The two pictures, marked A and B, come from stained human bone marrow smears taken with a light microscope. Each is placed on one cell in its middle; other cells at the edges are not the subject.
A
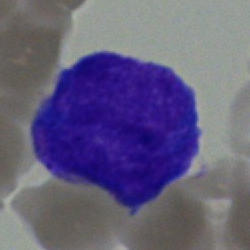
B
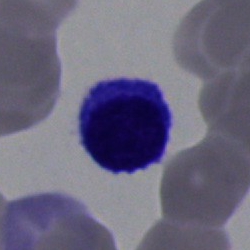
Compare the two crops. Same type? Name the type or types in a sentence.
No, crop A shows a blast, and the cell in crop B is a lymphocyte.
